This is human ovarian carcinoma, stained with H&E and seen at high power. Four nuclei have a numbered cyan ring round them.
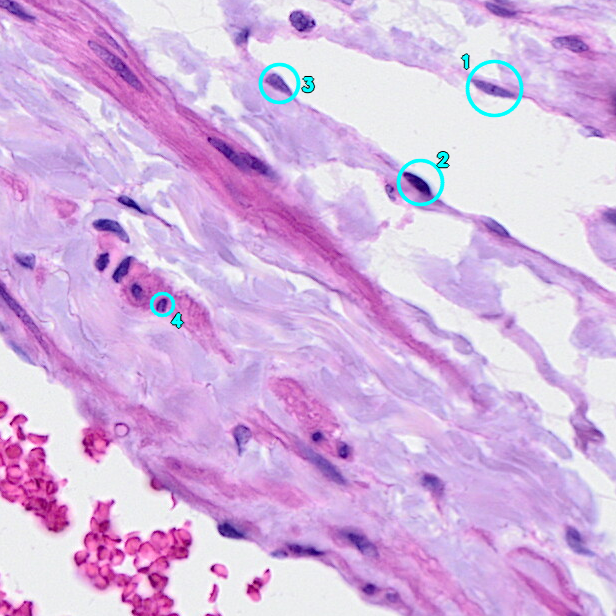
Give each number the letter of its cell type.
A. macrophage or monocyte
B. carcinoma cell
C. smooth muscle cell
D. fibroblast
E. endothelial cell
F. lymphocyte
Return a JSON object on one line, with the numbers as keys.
{"1": "E", "2": "E", "3": "E", "4": "C"}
